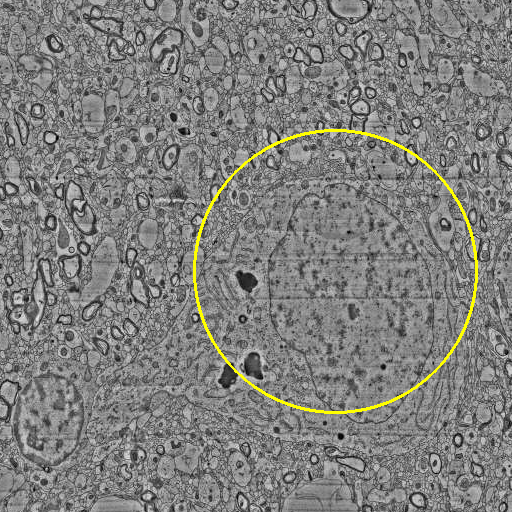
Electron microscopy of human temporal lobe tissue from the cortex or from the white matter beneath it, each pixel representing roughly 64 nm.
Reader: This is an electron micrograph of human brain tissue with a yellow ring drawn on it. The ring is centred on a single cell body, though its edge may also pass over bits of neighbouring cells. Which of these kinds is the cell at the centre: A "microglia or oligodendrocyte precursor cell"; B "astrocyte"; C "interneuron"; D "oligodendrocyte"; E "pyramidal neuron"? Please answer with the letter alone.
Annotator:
E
